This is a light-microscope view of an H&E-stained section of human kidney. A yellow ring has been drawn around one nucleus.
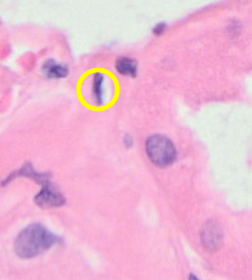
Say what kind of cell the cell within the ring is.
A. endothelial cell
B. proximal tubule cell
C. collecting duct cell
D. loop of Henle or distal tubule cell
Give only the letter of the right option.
A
